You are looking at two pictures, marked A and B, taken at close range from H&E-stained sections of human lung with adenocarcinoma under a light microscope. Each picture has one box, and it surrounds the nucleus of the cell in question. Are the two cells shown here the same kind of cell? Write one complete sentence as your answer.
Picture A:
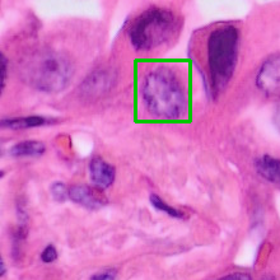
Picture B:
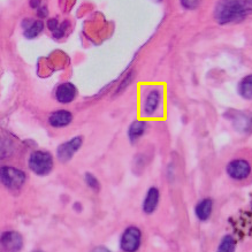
No, they differ: the cell is a carcinoma cell in picture A and a mast cell in picture B.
